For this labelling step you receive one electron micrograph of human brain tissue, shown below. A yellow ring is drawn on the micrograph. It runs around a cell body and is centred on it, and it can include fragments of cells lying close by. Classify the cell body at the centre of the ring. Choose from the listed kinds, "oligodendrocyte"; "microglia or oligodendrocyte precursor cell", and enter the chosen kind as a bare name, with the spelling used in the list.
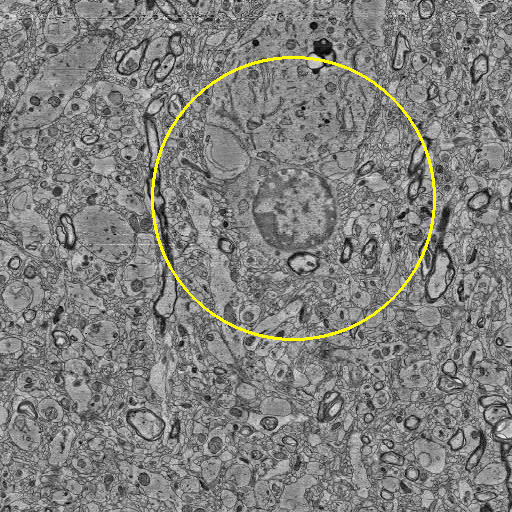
oligodendrocyte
